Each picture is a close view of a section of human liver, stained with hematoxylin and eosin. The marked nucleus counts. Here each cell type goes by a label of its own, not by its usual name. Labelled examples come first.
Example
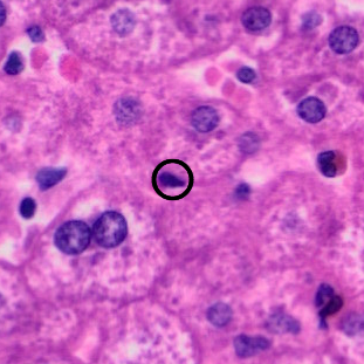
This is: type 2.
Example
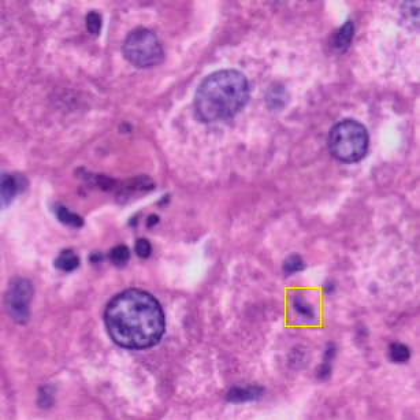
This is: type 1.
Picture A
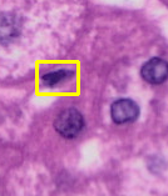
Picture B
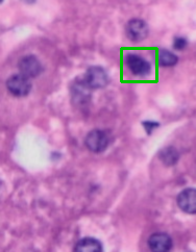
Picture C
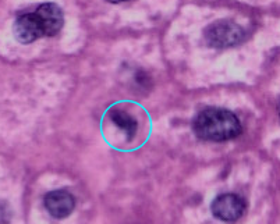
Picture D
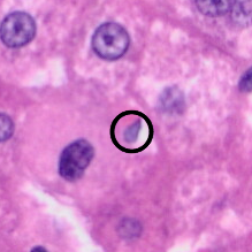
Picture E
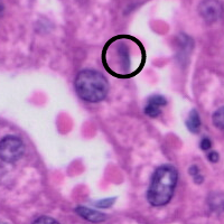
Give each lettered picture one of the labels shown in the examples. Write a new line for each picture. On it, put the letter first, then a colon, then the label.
A: type 1.
B: type 2.
C: type 1.
D: type 1.
E: type 1.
